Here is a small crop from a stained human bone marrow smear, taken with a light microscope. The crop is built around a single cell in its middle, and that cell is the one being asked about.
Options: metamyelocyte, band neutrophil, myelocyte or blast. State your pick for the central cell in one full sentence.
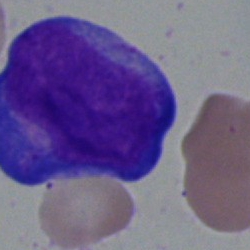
The cell at the central position in this crop is a blast.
